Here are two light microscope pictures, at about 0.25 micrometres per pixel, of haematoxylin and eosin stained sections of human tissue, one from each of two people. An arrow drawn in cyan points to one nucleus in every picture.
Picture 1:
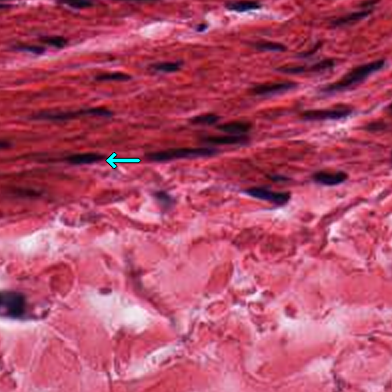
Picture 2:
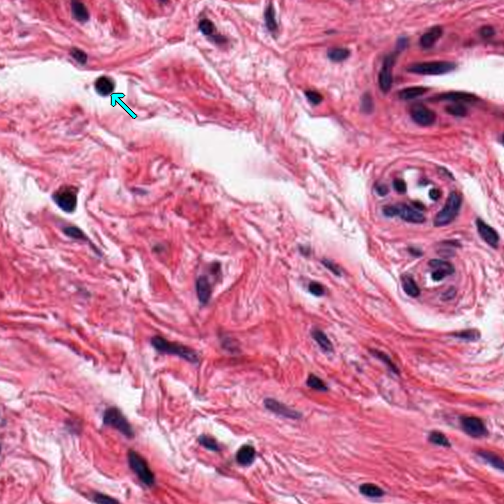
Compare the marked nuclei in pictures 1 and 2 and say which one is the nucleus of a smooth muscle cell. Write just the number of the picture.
1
